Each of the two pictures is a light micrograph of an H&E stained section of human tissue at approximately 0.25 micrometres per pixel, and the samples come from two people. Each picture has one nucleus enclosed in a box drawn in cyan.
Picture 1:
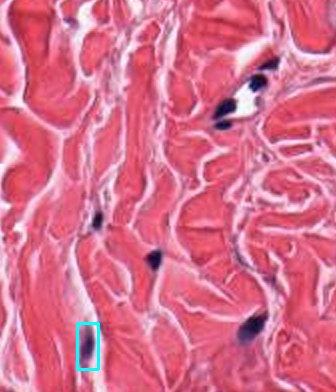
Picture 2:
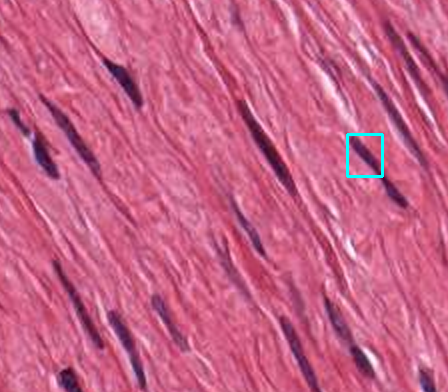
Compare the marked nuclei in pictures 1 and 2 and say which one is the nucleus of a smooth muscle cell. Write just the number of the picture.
2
